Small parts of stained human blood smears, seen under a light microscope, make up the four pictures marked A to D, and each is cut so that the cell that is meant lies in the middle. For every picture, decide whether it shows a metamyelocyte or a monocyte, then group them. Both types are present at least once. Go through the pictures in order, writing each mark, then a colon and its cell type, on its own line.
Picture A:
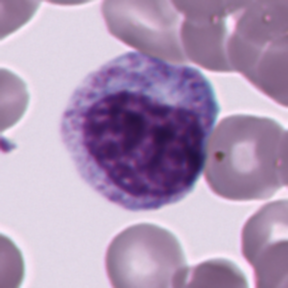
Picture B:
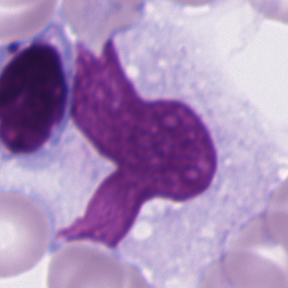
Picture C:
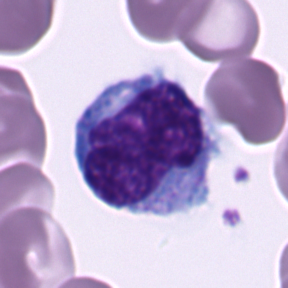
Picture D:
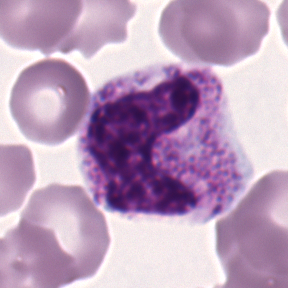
A: metamyelocyte
B: monocyte
C: monocyte
D: metamyelocyte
